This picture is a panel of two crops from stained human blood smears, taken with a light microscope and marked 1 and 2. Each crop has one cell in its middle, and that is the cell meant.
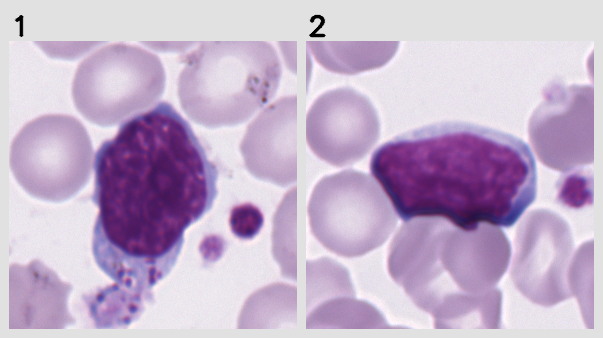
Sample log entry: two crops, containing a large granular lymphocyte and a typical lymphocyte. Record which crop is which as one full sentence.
Placed in the middle of crop 1 is a large granular lymphocyte, and in the middle of crop 2, a typical lymphocyte.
